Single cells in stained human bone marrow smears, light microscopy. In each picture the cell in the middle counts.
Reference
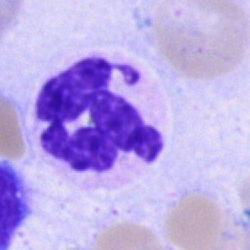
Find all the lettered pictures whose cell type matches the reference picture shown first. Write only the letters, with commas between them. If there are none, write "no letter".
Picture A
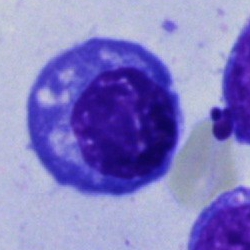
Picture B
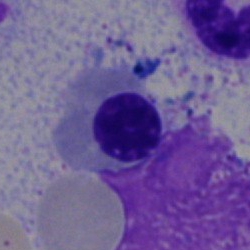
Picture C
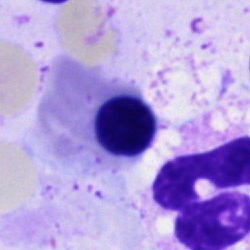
no letter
